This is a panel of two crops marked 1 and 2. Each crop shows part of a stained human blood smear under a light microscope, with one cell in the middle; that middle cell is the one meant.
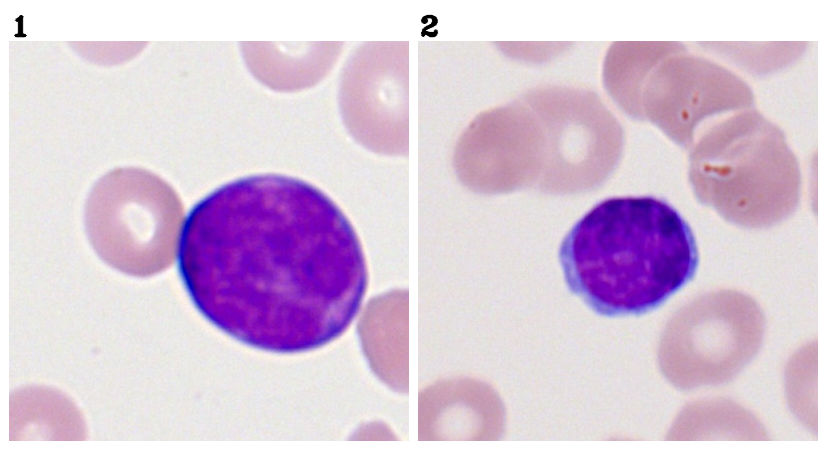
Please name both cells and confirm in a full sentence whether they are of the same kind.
No, it is in crop 1 that a myeloblast is shown, and in crop 2 that a lymphocyte is shown.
